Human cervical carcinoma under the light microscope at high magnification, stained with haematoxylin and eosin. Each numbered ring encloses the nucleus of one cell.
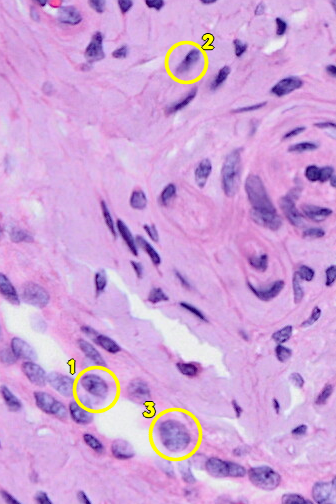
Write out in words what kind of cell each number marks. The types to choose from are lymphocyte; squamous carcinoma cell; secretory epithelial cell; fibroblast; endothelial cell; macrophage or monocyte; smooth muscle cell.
Cell 1 is an endothelial cell, cell 2 is a fibroblast and cell 3 is an endothelial cell.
